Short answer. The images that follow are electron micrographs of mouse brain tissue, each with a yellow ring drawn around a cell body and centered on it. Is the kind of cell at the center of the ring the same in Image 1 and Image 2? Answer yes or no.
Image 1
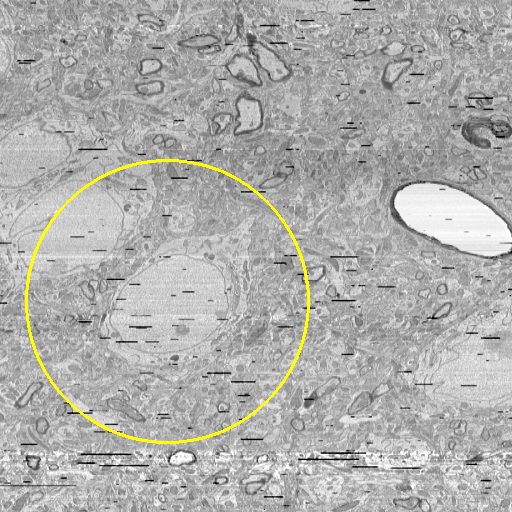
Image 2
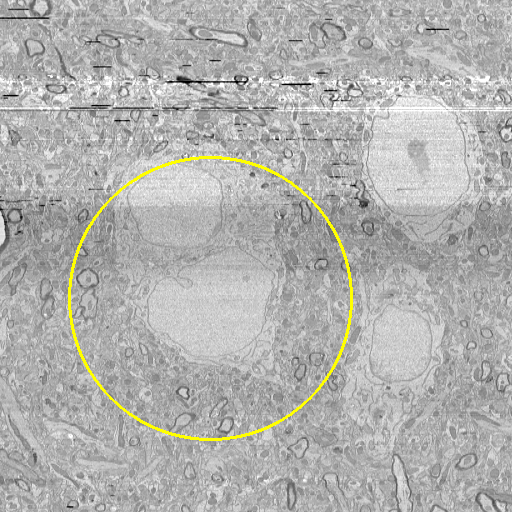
yes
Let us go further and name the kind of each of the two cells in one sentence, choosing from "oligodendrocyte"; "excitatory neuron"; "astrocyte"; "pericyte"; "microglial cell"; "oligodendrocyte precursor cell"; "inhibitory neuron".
In each of the two pictures, the ringed cell is an excitatory neuron.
